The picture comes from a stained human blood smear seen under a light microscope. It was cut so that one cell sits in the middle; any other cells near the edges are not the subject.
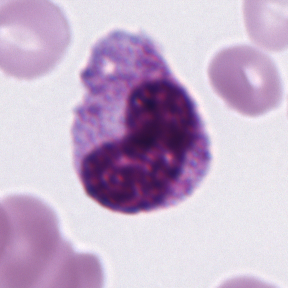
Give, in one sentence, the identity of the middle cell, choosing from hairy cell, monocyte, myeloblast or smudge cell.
In the centre of this crop there is a monocyte.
